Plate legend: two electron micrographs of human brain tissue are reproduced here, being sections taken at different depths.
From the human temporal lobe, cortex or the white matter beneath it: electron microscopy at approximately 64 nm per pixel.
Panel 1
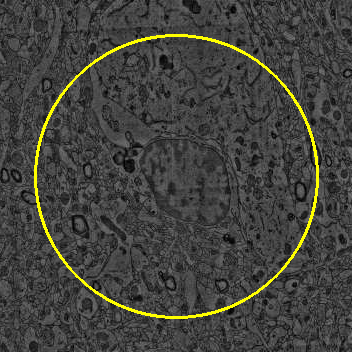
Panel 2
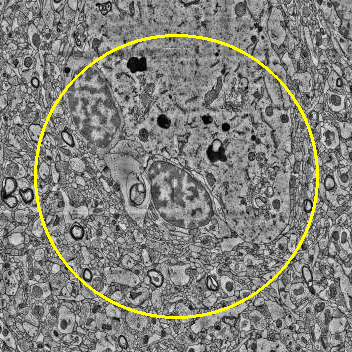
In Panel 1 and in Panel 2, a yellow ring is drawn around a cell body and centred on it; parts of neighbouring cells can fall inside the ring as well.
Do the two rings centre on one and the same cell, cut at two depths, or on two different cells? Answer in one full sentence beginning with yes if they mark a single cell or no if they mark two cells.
Yes, the second ring marks the same cell as the first.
